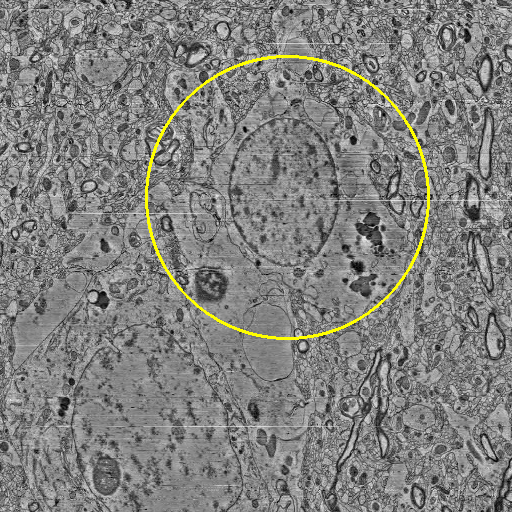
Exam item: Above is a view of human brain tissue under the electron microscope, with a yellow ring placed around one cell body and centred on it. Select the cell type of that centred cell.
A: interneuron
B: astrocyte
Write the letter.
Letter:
B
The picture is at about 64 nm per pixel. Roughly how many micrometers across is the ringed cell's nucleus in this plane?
In this plane, roughly 10 by 7 micrometres.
